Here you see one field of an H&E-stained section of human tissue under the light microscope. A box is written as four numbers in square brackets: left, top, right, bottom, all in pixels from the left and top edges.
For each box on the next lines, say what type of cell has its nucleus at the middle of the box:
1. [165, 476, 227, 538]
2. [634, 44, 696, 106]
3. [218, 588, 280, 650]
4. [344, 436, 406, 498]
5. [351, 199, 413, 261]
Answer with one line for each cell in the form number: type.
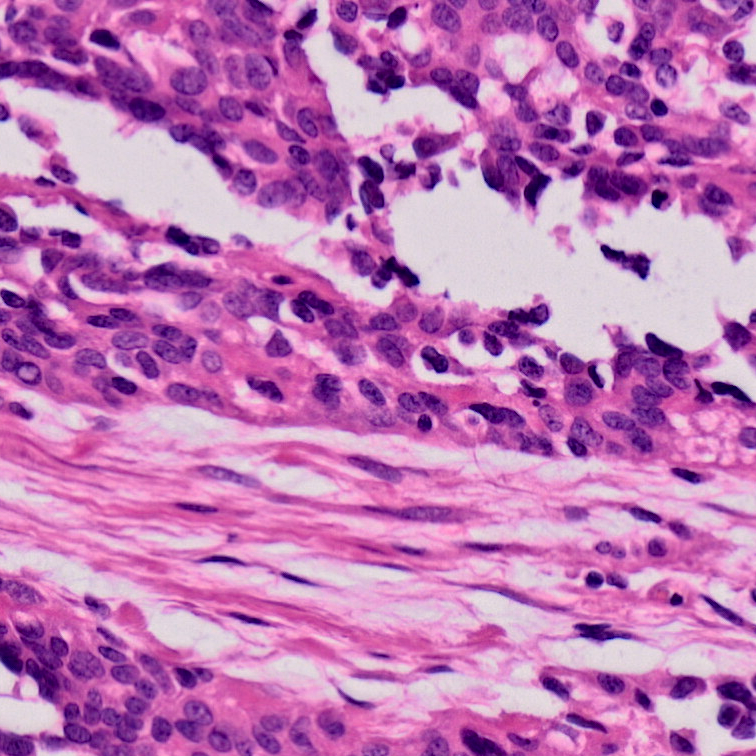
1: fibroblast
2: macrophage or monocyte
3: fibroblast
4: fibroblast
5: macrophage or monocyte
